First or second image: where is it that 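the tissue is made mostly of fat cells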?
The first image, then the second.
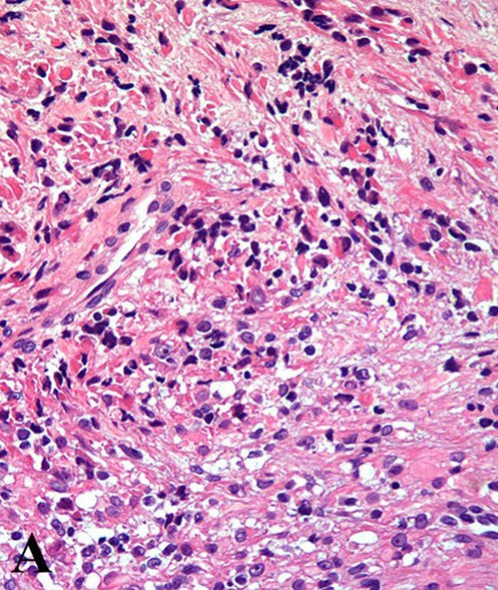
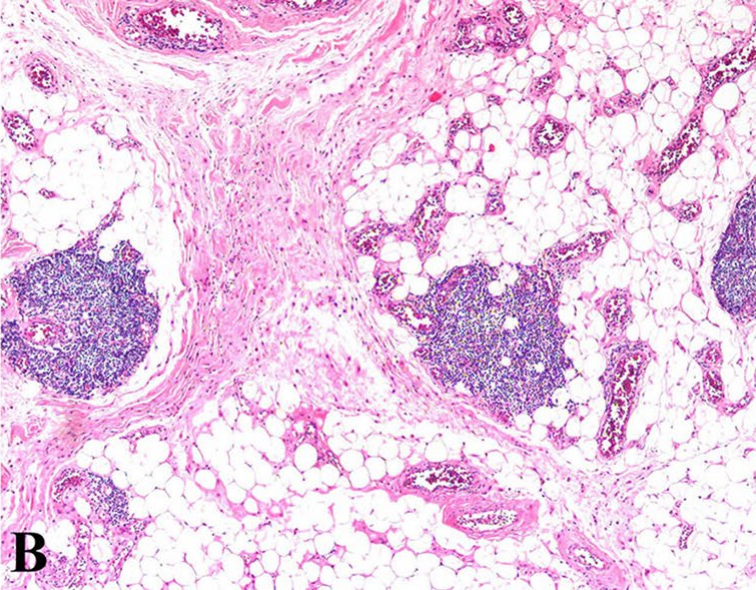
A: The second image.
